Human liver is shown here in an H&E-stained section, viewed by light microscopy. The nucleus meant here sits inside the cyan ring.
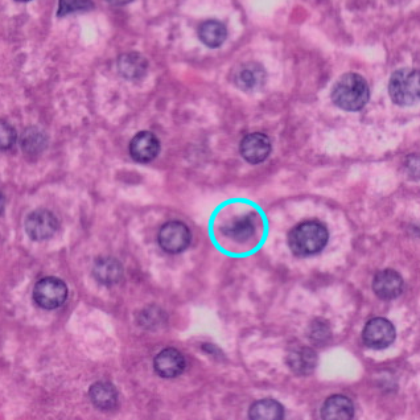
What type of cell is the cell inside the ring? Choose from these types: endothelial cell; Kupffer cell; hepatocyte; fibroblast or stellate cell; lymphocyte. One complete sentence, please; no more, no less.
Assigned to a cell type, the cell inside the ring is an endothelial cell.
